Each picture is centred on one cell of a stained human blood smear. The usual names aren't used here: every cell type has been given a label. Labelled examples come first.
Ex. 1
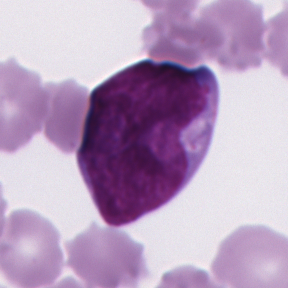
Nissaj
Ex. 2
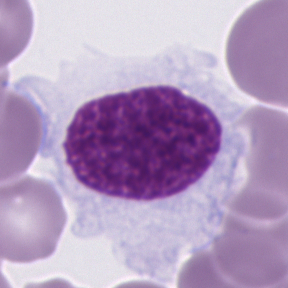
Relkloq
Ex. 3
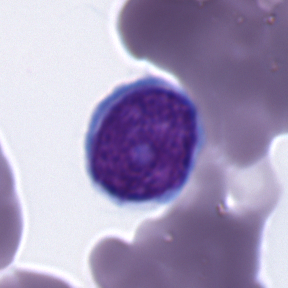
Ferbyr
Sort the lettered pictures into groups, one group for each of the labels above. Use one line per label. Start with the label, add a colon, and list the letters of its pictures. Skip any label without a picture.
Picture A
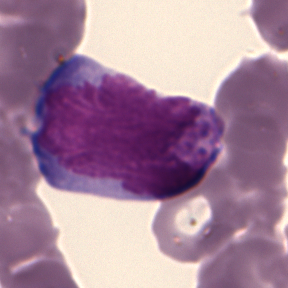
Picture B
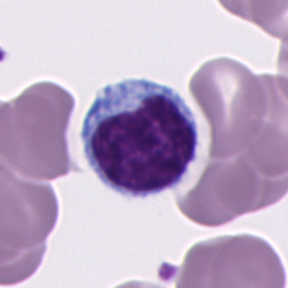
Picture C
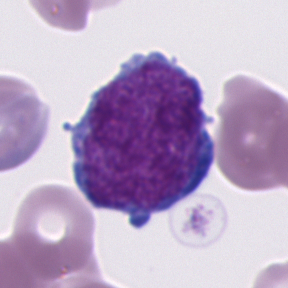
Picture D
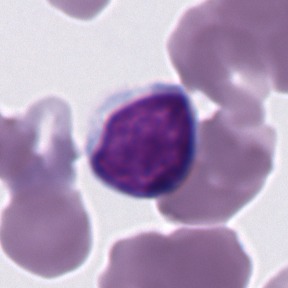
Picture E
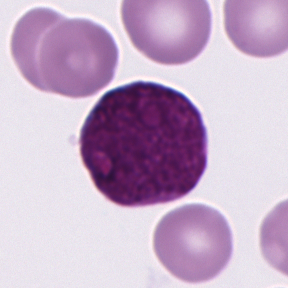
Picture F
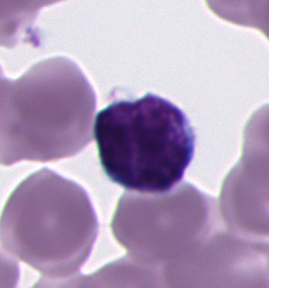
Nissaj: A, C, E
Ferbyr: B, D, F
